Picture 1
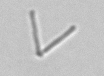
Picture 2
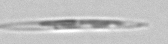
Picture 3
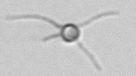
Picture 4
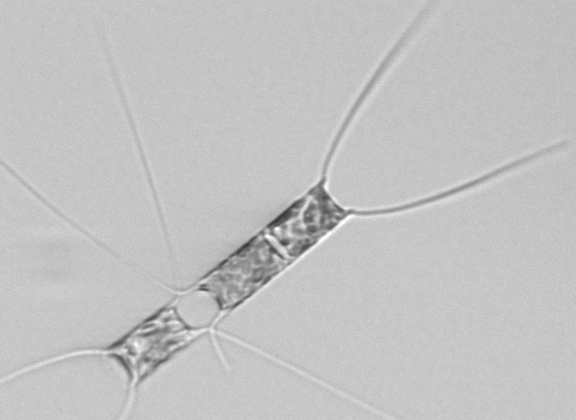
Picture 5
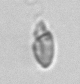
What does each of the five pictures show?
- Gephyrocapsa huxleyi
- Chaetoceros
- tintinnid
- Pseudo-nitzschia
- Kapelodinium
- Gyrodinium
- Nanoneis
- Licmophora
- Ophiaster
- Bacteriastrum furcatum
Picture 1: Nanoneis
Picture 2: Pseudo-nitzschia
Picture 3: Ophiaster
Picture 4: Chaetoceros
Picture 5: Kapelodinium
